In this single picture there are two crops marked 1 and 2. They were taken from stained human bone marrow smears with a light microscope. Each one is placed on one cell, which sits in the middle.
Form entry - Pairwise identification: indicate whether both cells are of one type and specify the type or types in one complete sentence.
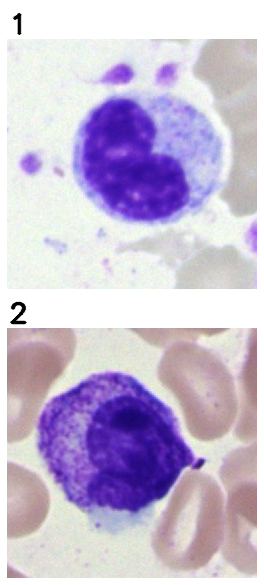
Yes, both crops show metamyelocytes, and nothing else needs adding.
